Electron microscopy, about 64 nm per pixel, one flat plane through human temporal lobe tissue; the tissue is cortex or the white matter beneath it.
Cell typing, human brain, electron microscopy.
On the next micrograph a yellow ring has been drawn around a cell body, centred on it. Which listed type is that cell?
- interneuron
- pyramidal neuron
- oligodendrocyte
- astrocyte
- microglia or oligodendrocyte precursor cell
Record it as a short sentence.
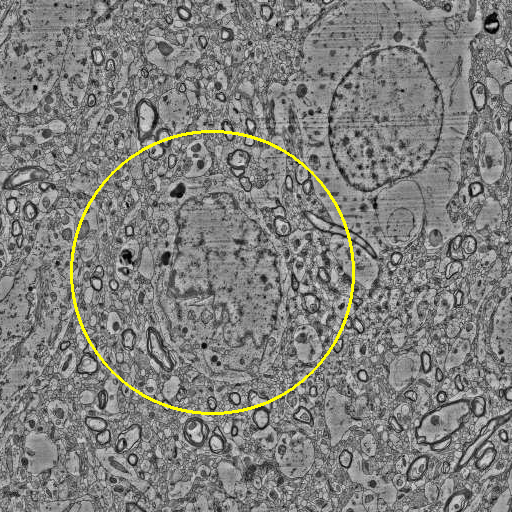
The cell body in the ring's centre belongs to an interneuron.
